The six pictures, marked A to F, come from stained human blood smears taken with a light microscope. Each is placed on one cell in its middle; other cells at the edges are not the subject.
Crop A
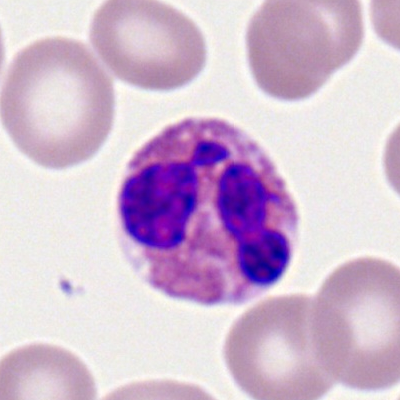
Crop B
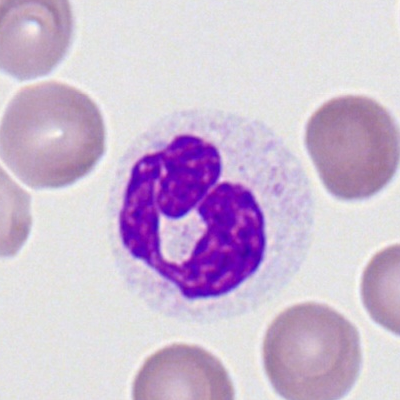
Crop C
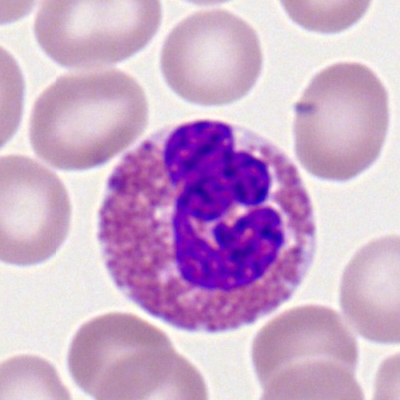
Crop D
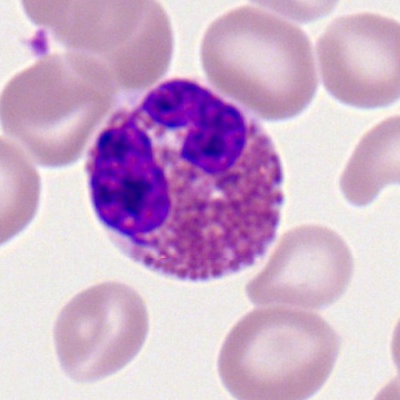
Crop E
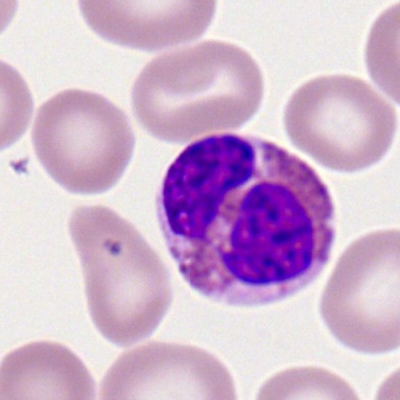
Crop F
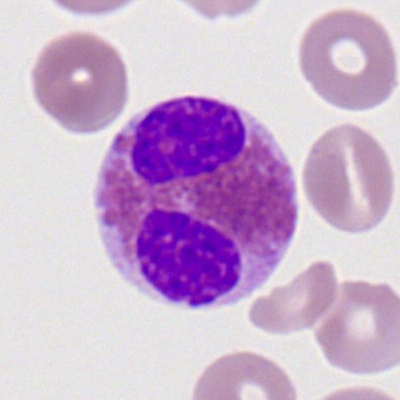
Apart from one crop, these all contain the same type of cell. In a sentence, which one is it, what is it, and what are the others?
All the crops show eosinophils, barring crop B, which is a neutrophil.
